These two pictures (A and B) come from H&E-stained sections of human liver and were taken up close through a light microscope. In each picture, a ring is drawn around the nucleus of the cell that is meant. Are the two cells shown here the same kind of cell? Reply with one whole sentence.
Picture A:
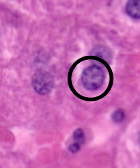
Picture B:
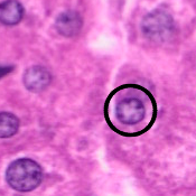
Yes, the two pictures both show hepatocytes.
